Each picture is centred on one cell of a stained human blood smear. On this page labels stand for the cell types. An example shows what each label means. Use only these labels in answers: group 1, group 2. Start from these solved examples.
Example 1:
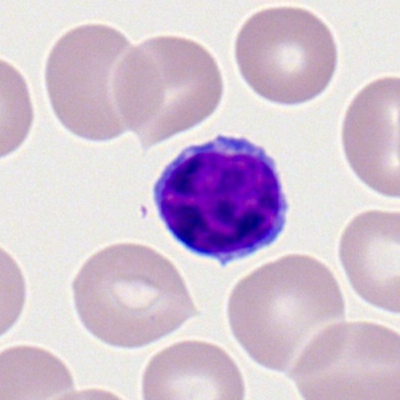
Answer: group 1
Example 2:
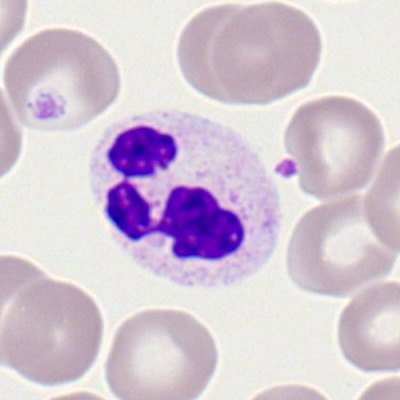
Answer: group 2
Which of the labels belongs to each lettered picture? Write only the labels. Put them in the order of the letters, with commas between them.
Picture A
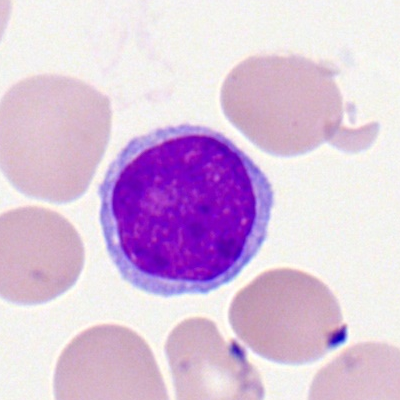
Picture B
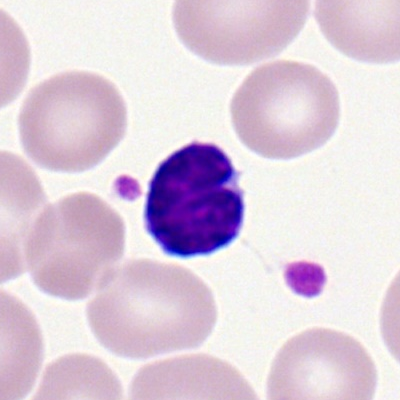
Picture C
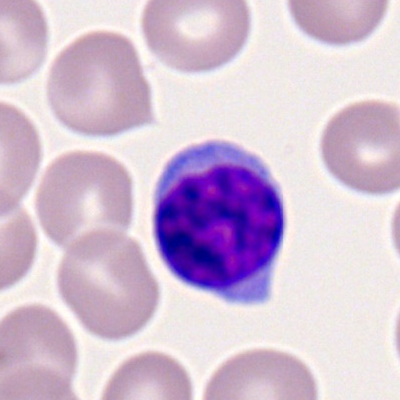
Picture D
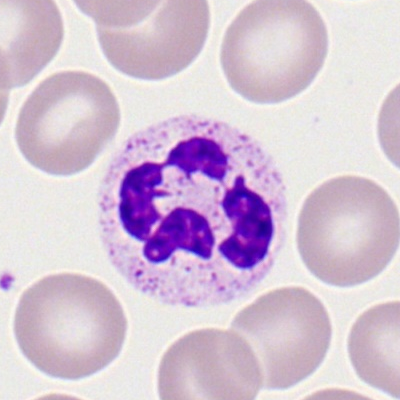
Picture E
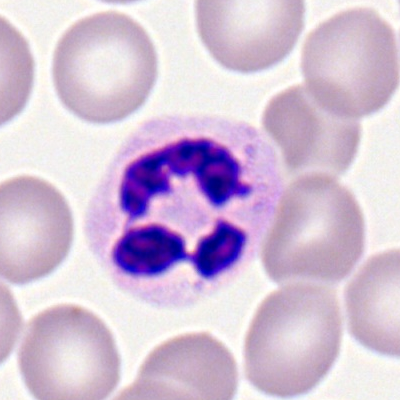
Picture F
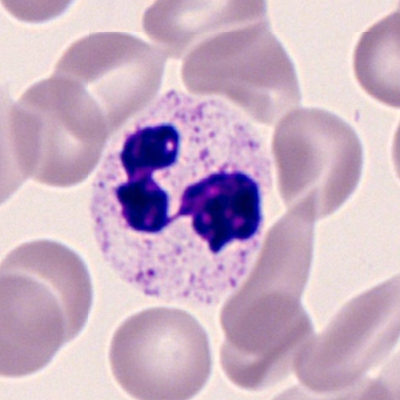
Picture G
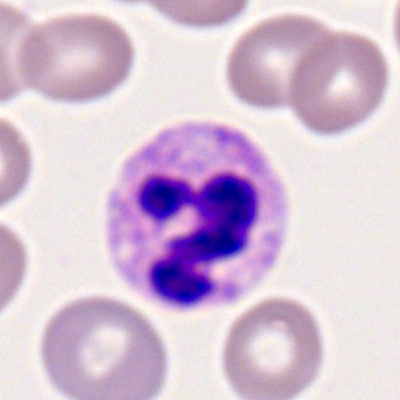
group 1, group 1, group 1, group 2, group 2, group 2, group 2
